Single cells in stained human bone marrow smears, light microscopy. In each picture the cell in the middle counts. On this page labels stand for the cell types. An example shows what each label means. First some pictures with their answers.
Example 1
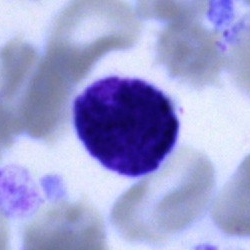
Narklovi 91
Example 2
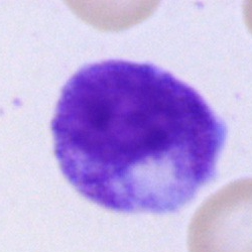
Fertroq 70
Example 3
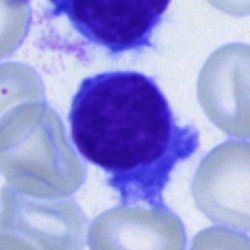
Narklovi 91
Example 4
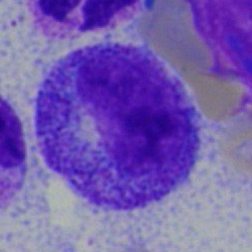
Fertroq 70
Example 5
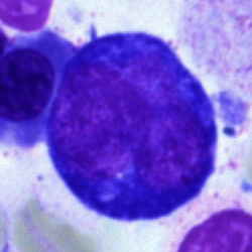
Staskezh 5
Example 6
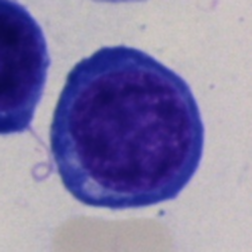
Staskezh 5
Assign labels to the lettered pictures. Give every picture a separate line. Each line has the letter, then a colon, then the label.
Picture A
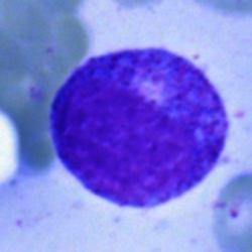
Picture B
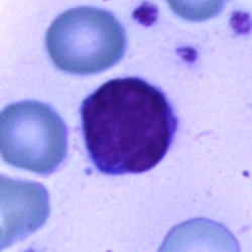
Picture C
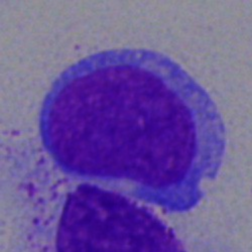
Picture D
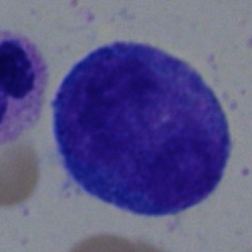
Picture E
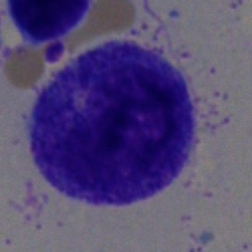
A: Fertroq 70
B: Narklovi 91
C: Fertroq 70
D: Fertroq 70
E: Fertroq 70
